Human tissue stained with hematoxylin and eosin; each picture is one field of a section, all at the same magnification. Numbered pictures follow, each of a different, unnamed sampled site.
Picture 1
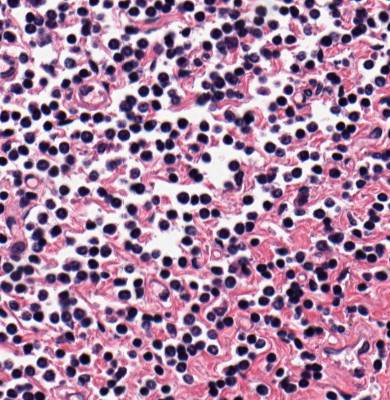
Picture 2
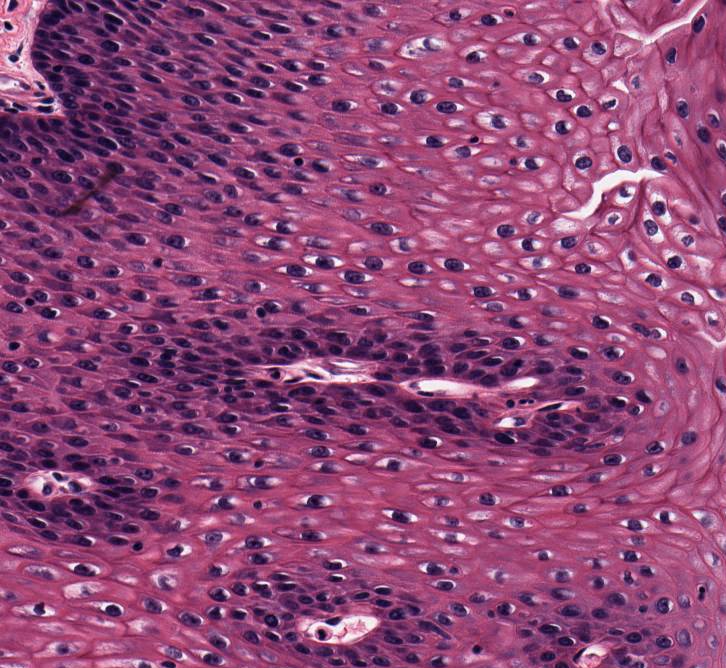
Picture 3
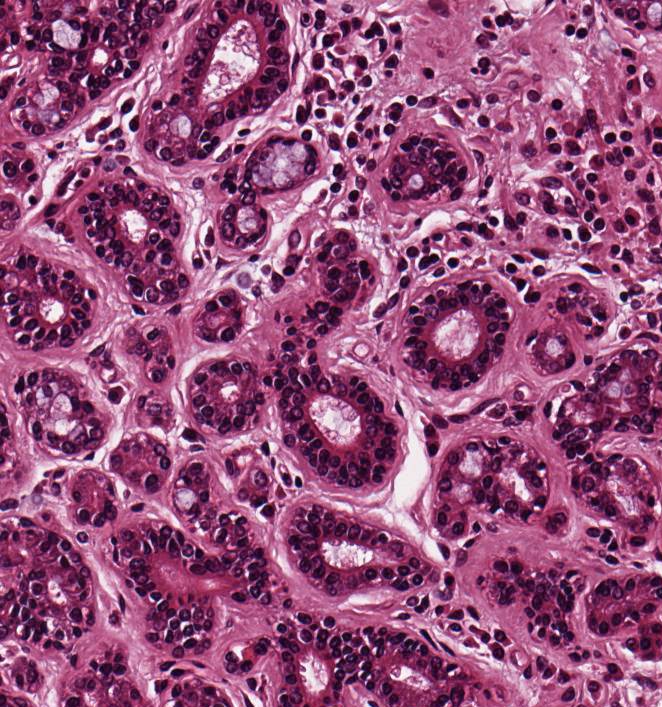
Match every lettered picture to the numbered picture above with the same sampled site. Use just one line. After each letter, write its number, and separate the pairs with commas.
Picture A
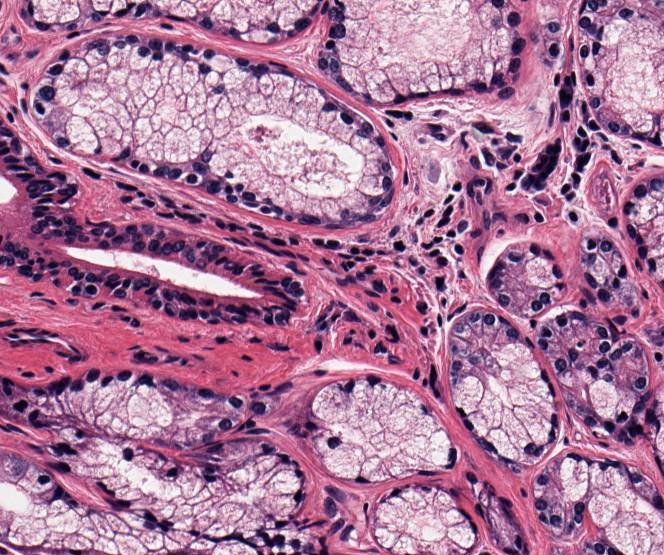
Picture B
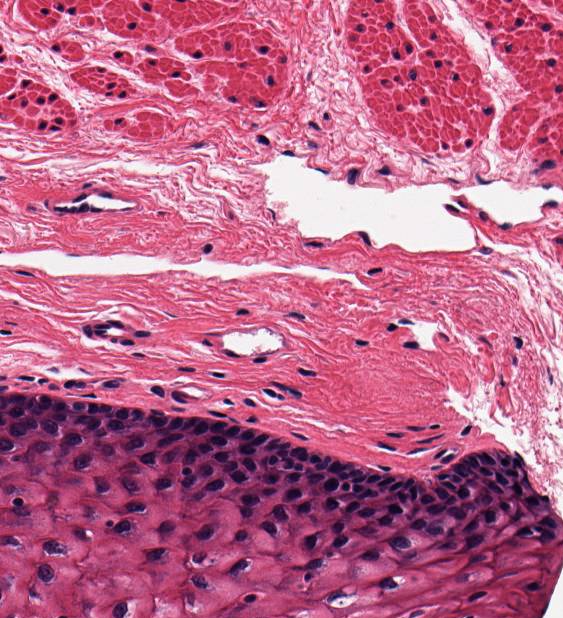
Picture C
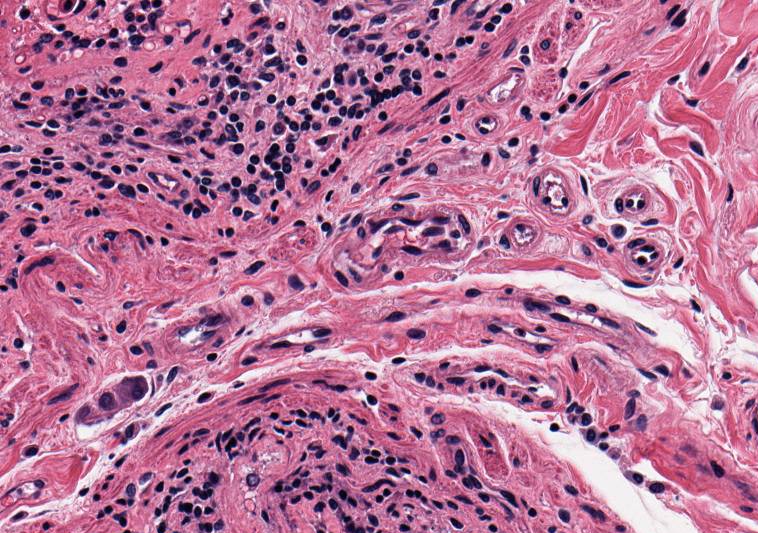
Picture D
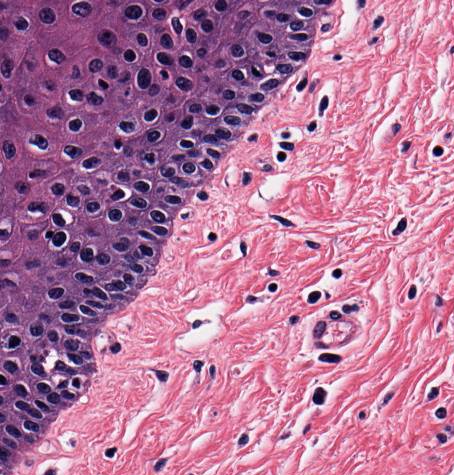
A 3, B 2, C 1, D 2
